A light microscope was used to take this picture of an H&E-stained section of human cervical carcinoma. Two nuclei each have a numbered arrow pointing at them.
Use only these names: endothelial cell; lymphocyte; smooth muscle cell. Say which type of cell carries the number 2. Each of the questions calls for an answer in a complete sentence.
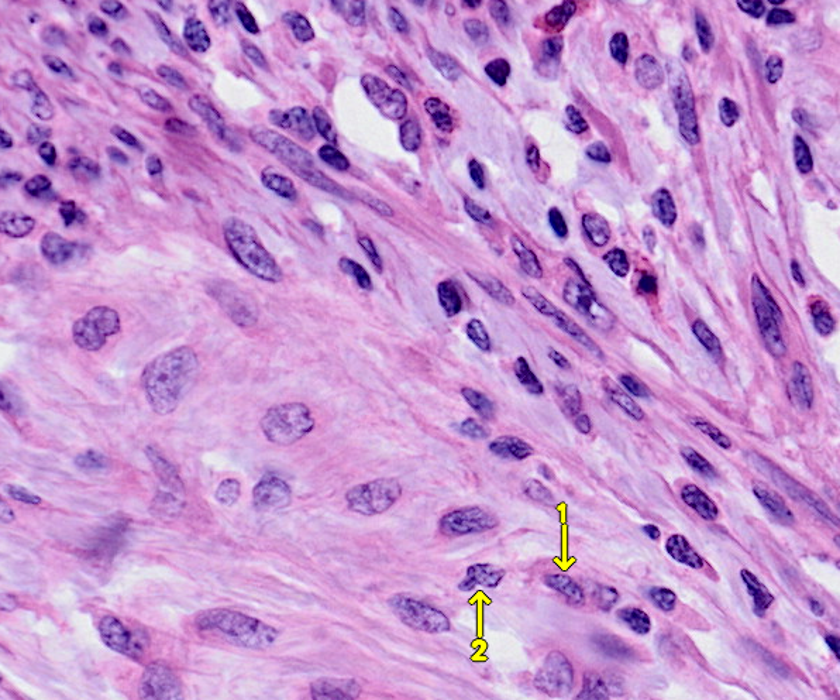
In this section, the cell tagged 2 is a lymphocyte.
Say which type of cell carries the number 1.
In this section, the cell numbered 1 is an endothelial cell.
